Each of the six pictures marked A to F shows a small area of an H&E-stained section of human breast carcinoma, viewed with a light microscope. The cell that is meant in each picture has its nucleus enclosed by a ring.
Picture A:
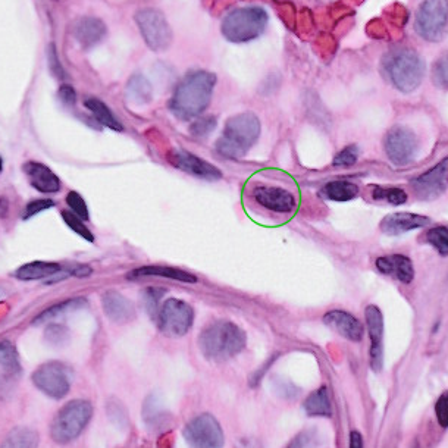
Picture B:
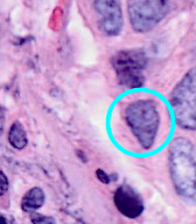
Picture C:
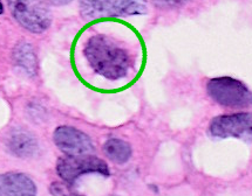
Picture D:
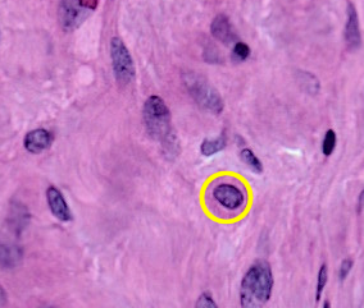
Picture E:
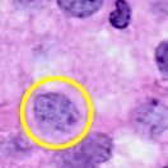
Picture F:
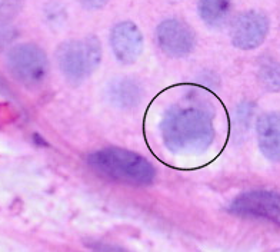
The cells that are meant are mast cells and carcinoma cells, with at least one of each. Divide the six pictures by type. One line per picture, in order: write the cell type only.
mast cell
carcinoma cell
carcinoma cell
mast cell
carcinoma cell
carcinoma cell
